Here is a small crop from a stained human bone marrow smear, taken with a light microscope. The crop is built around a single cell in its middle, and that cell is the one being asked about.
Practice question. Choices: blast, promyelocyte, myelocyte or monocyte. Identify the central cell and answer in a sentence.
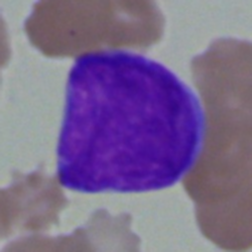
The central cell, amid any neighbouring cells, is a blast.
